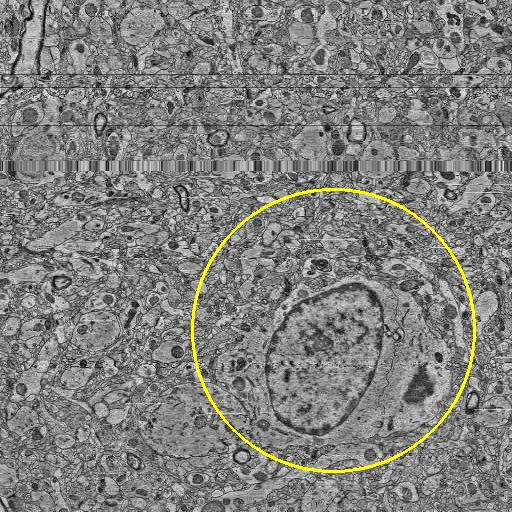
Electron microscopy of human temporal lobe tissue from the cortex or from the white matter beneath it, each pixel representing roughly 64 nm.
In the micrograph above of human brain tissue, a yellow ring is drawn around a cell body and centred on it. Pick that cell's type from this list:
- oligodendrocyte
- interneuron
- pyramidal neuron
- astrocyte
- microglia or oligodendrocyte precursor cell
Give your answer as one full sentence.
Going by the list, a microglial cell or oligodendrocyte precursor cell is the cell on which the yellow ring is centred.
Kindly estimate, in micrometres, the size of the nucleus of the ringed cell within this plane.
About 10 by 7 micrometers; the nucleus is clearly longer than it is wide in this plane.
